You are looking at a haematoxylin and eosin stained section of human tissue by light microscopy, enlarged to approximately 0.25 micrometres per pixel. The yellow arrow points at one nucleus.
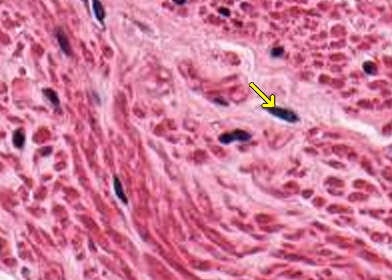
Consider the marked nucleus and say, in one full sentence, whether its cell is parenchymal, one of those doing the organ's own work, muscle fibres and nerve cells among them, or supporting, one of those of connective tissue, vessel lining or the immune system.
The marked nucleus is classified as belonging to a supporting cell.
